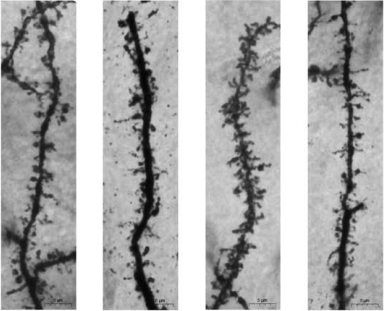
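Along both sides of every shaft project numerous small spines: some are short with rounded, bulbous heads on narrow necks, others are thin and slender, and a few are stubby knobs. The spines are crowded in places so that the shaft outline looks fuzzy. No cell bodies or nuclei are visible; the view is confined to dendritic segments and their protrusions.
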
